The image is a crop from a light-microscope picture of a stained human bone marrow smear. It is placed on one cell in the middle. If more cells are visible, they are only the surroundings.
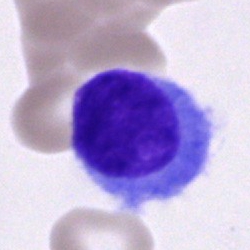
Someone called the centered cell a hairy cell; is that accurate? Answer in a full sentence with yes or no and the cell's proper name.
Yes, the cell in the central position is a hairy cell.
